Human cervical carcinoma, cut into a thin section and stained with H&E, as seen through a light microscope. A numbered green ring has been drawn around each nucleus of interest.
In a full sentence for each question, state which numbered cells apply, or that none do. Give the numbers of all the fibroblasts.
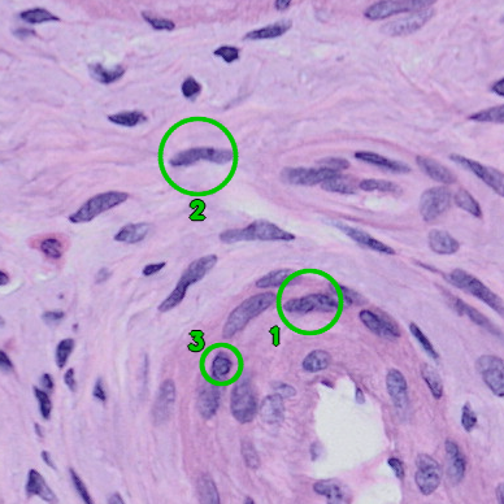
Only at number 2 is there a fibroblast among the marked cells.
